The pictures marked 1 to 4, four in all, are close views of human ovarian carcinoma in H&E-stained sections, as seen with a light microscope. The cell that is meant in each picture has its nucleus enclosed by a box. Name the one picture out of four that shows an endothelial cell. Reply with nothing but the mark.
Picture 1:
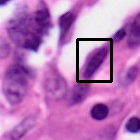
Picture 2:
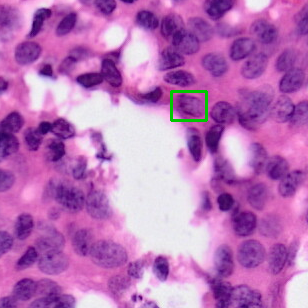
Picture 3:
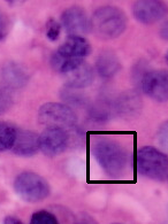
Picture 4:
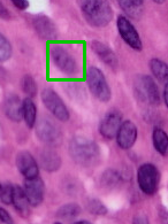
2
